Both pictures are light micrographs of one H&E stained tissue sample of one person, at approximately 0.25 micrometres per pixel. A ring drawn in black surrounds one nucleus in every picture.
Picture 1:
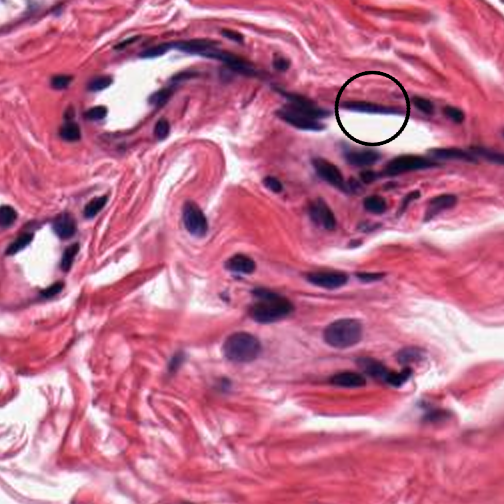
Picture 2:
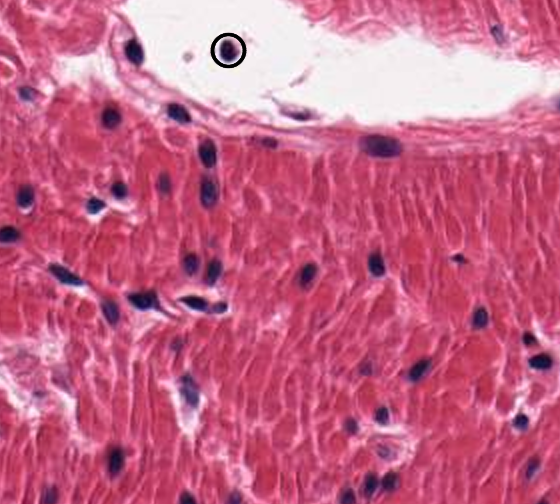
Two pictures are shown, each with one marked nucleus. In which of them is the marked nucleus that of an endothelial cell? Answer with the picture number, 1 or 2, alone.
1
